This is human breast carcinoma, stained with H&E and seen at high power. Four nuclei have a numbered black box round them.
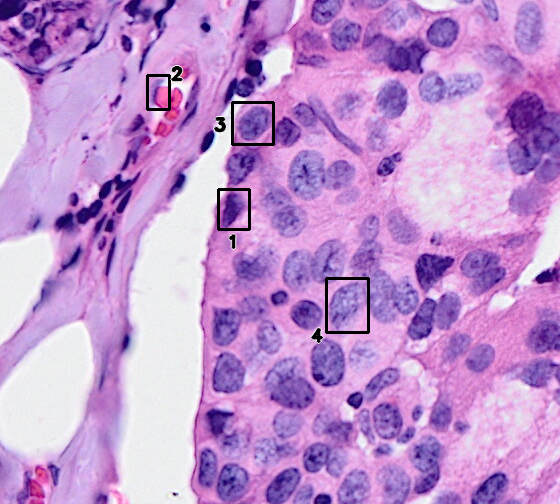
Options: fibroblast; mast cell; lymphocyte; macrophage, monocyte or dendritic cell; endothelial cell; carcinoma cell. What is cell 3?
carcinoma cell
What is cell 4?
carcinoma cell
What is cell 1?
carcinoma cell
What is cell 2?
endothelial cell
